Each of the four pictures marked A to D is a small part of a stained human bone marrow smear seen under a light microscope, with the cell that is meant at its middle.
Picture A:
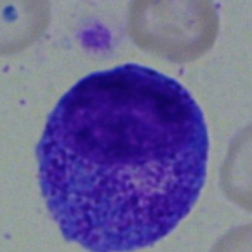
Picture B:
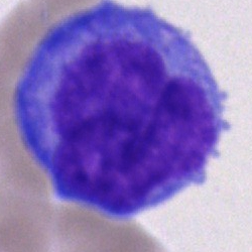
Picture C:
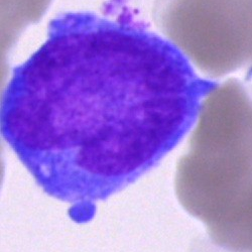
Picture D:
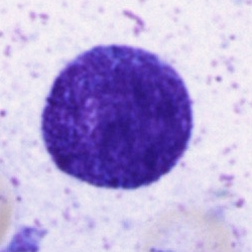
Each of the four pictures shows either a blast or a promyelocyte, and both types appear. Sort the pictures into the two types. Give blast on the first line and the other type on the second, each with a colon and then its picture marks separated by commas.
blast: B, C
promyelocyte: A, D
